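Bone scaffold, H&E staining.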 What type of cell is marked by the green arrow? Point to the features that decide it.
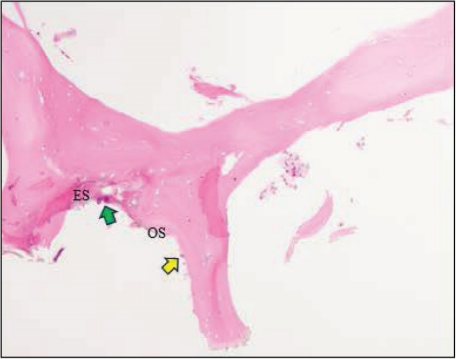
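Osteoclasts. The arrow points to a dark purple-stained cluster lying on the bone surface. The bone surface beside it is irregular and notched.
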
